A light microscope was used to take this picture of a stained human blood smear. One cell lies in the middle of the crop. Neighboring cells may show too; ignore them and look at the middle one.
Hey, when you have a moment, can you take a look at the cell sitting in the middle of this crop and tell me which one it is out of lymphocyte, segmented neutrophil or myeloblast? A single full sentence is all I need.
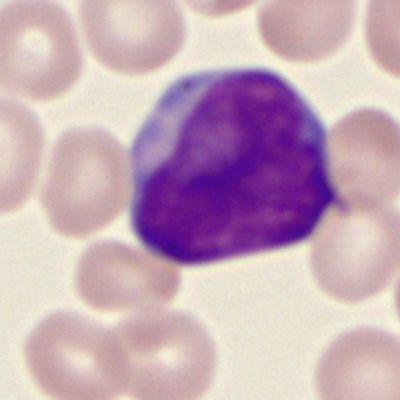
Here the cell in the middle is a myeloblast.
